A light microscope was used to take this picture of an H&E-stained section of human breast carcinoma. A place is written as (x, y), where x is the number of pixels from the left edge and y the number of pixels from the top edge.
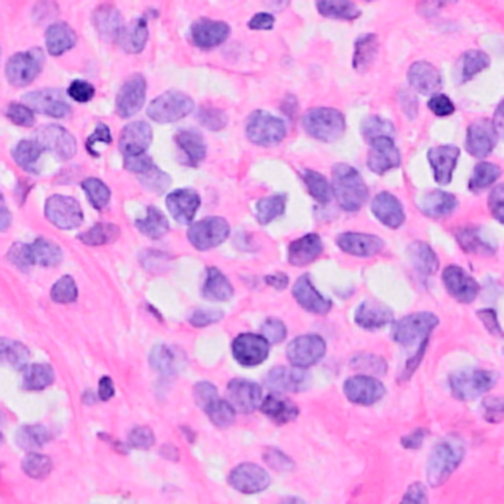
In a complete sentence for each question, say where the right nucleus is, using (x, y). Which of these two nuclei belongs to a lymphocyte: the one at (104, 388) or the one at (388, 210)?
Of the two nuclei, it is the one at (104, 388) that lies within a lymphocyte.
